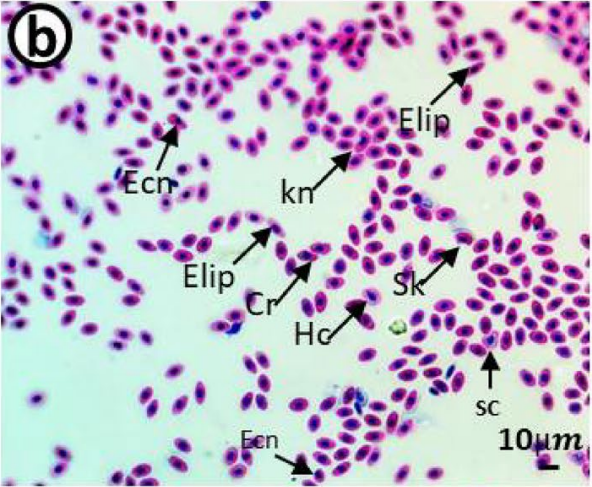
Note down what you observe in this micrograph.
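Peripheral blood smear crowded with nucleated erythrocytes, several of them deformed. Cells are oval to elongated with deep pink cytoplasm and a dark purple nucleus. Some nuclei sit off-centre, and some cells are bent or irregular in outline. Cells are densely packed in clusters, with a few bluish pale bodies scattered between them.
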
